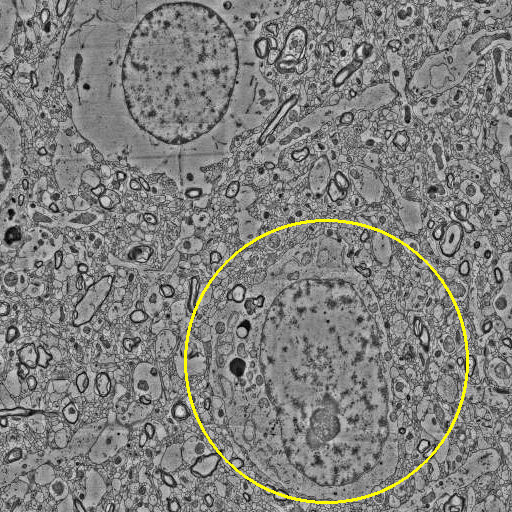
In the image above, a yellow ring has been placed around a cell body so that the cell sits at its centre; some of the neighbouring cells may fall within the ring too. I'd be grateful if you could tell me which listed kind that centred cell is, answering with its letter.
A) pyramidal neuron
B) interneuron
B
